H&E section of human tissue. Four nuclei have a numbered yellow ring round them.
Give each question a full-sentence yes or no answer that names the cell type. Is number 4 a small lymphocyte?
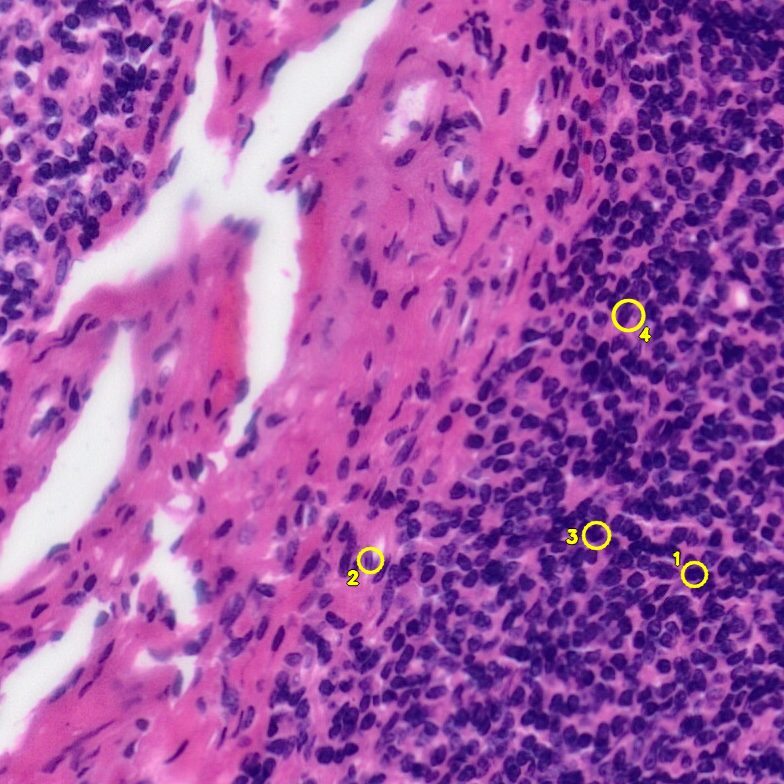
Yes, the cell given number 4 is a small lymphocyte.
